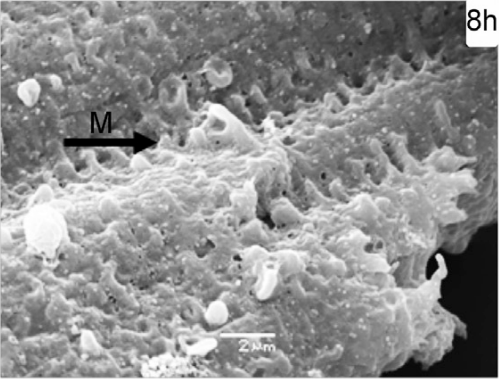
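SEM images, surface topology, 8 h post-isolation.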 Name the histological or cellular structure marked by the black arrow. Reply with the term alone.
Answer: Protrusions of the sarcolemmal membrane.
